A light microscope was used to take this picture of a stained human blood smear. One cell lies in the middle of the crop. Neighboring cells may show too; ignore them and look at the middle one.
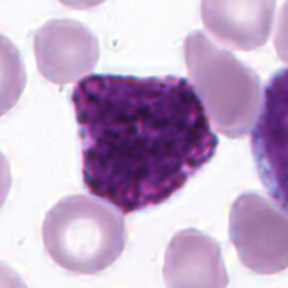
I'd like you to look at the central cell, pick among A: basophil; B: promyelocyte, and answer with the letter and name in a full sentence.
The central cell is a basophil, which makes option A the right answer.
